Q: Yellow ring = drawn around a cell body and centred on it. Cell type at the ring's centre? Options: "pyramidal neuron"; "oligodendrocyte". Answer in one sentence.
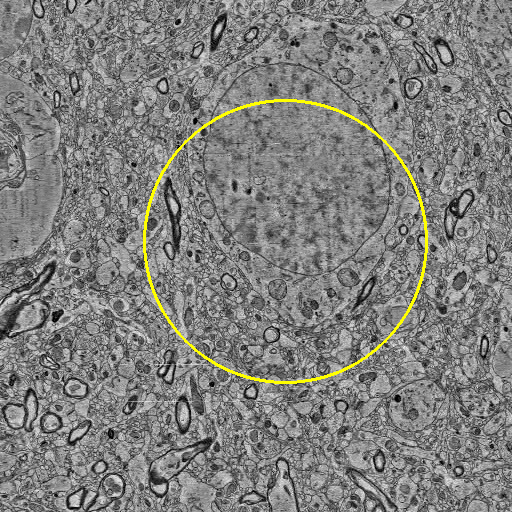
Centred in the ring is a pyramidal neuron.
